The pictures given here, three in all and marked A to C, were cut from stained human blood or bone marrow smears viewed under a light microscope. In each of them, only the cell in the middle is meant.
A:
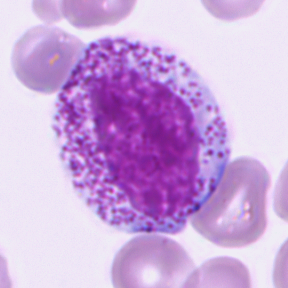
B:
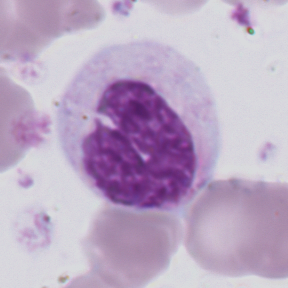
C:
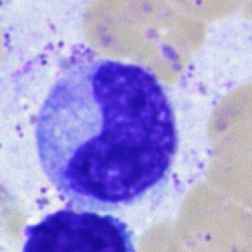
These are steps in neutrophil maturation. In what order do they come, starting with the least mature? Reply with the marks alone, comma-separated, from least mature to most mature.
A, C, B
